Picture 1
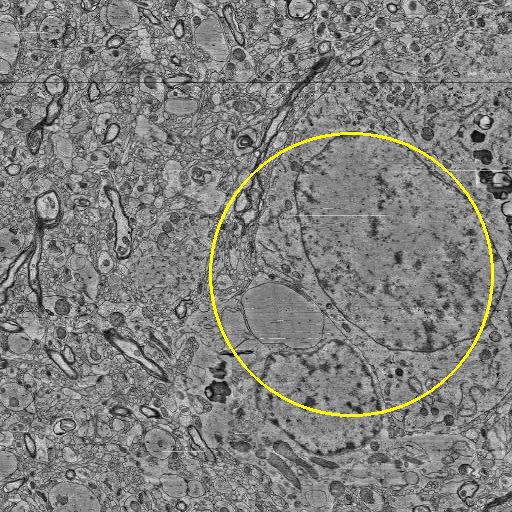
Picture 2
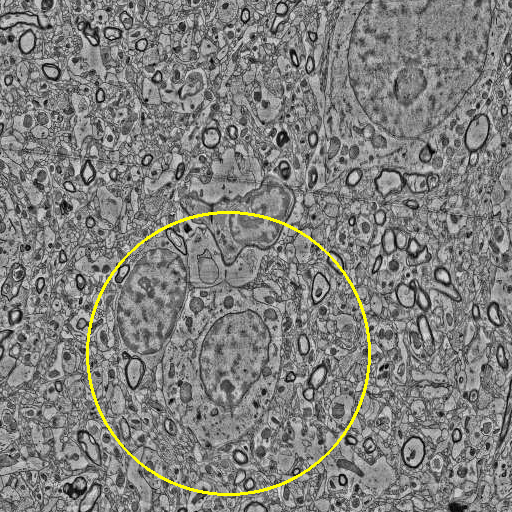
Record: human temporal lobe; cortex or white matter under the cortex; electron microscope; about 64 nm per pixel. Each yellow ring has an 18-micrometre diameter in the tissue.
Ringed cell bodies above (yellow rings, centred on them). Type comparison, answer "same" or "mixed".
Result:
same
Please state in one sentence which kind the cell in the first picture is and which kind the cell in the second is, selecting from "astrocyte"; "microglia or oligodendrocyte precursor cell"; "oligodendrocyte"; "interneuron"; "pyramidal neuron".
In each of the two pictures, the ringed cell is a pyramidal neuron.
